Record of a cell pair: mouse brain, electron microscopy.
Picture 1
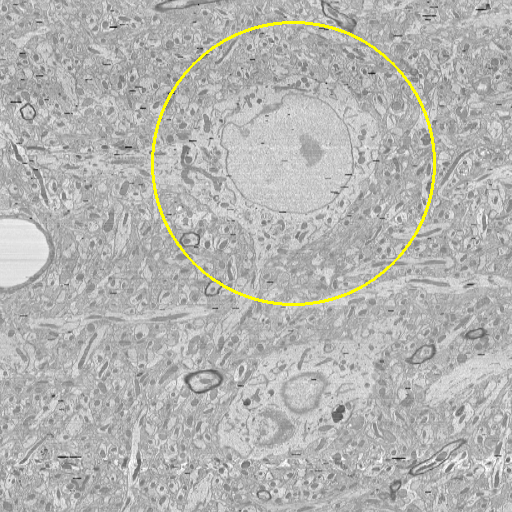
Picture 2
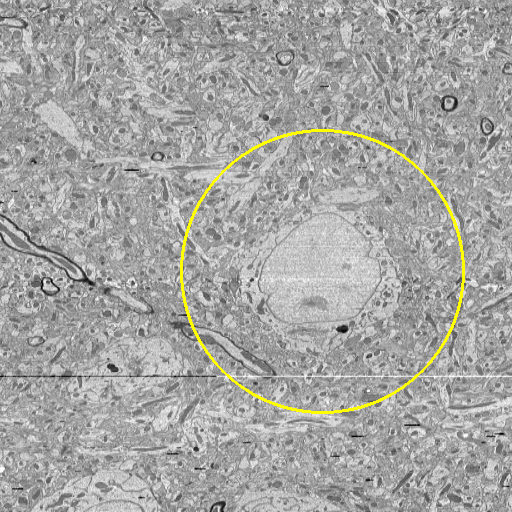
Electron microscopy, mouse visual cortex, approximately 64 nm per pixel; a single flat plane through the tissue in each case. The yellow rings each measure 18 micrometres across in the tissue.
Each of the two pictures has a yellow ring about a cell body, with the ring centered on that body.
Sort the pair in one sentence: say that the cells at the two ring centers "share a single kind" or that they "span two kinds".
The cells centered in the rings of Pictures 1 and 2 share a single kind.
